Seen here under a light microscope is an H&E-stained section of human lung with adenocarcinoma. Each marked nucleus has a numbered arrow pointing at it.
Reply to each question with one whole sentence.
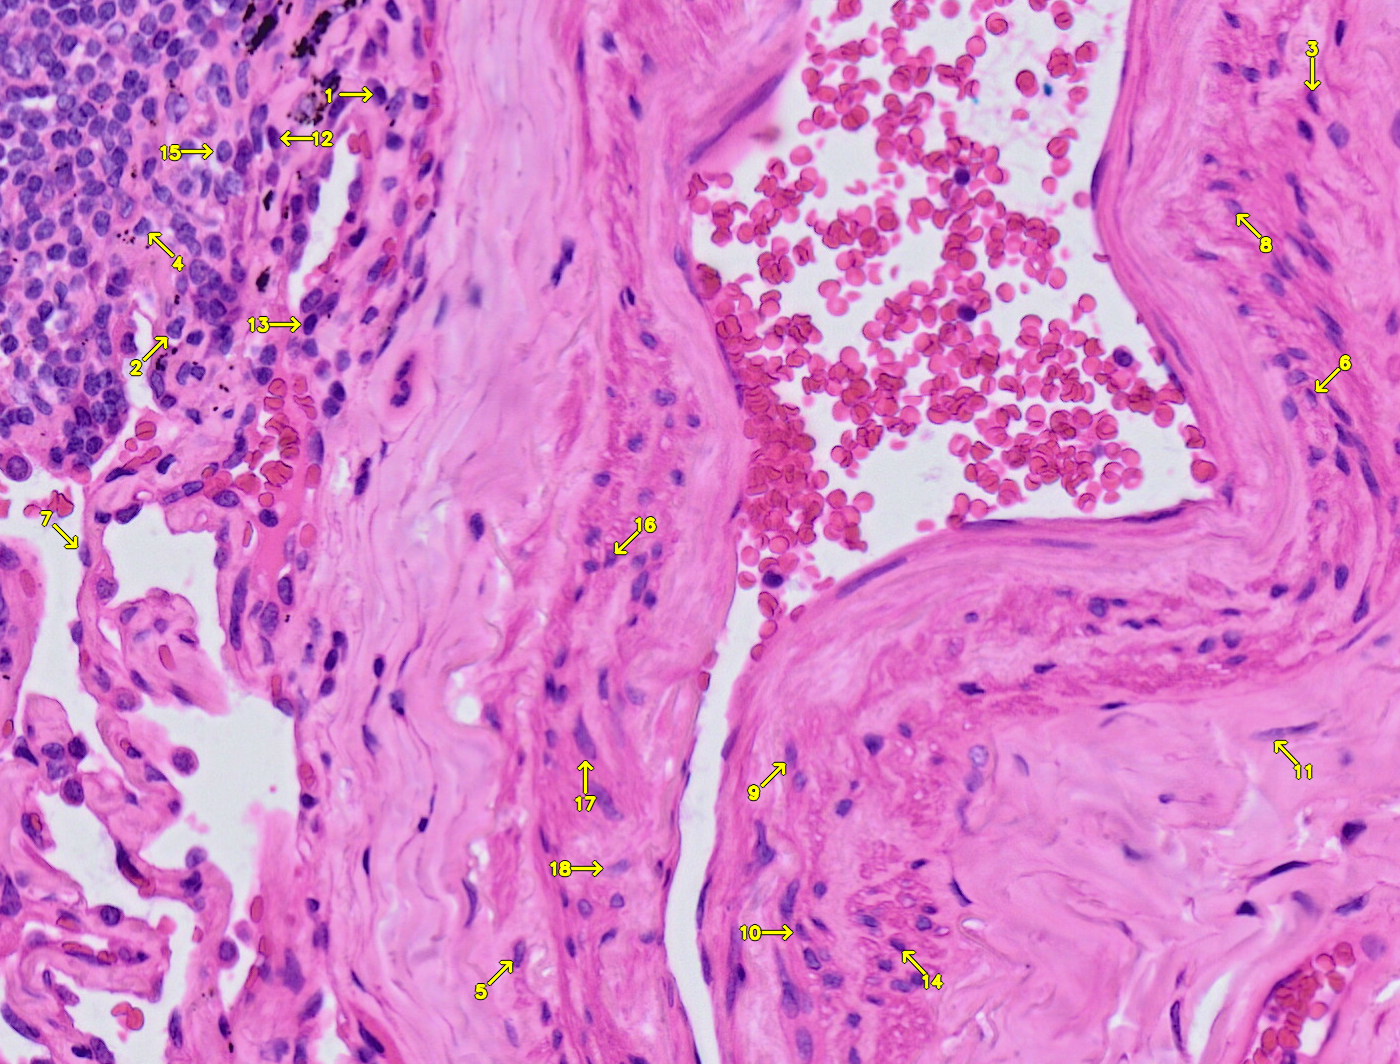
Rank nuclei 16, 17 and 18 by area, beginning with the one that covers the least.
The order from the smallest nucleus to the largest is 16, 18, 17.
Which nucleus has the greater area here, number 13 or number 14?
At about 2 times the area of nucleus 14, nucleus 13 is the larger of the two.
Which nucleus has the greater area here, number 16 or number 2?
Nucleus 2 is the larger one, covering about 2 times the area of nucleus 16.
